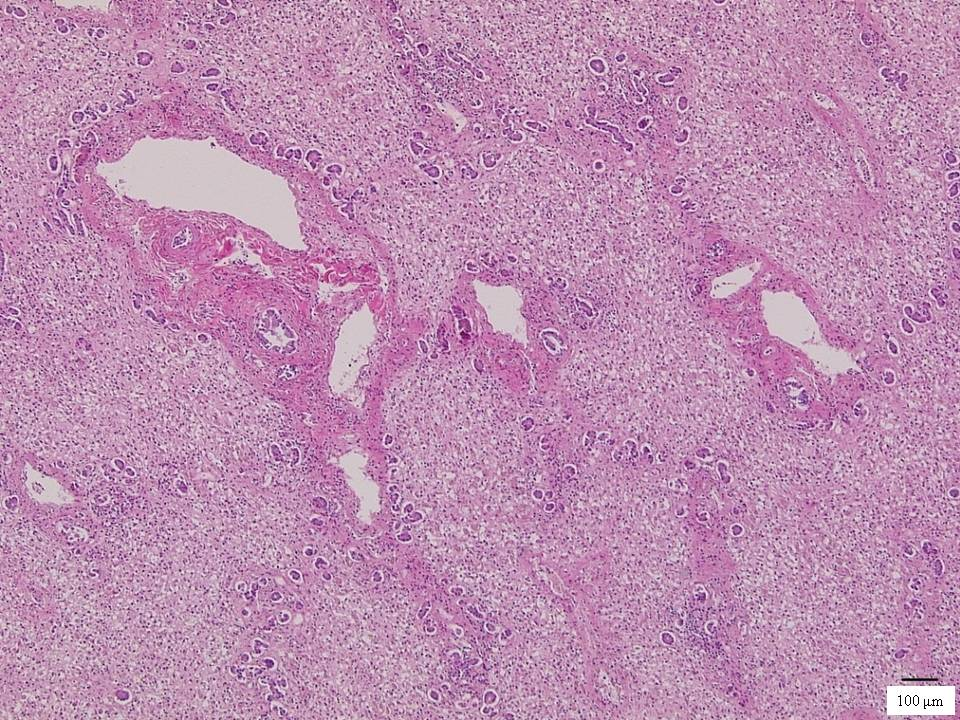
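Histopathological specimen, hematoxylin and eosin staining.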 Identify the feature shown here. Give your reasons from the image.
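Several thin-walled, open vascular spaces lie in pink fibrous tissue. Small arteries with thick walls and small ducts sit beside these vessels. Several such vessel-centred fields lie only a short distance apart. So: Portal venous areas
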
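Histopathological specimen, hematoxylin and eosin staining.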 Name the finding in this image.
Hyperplasia of the small bile ducts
